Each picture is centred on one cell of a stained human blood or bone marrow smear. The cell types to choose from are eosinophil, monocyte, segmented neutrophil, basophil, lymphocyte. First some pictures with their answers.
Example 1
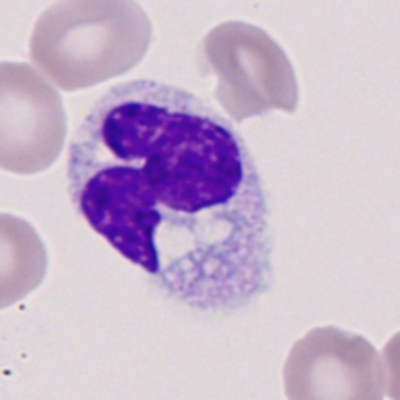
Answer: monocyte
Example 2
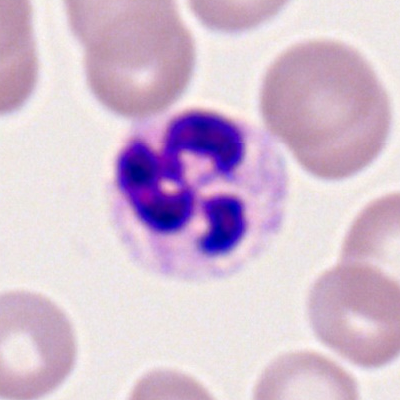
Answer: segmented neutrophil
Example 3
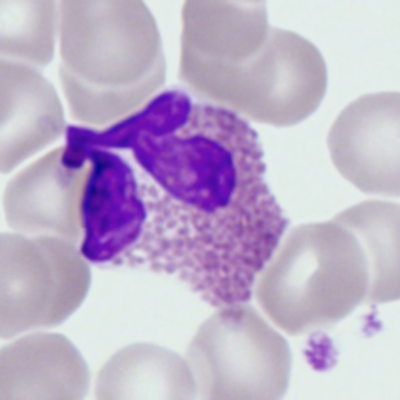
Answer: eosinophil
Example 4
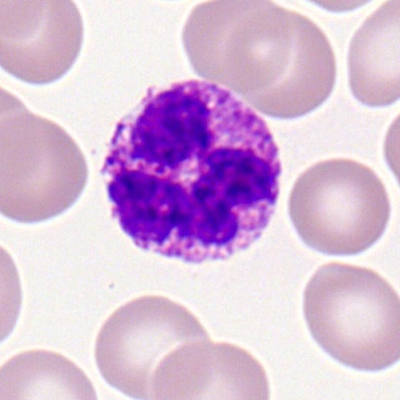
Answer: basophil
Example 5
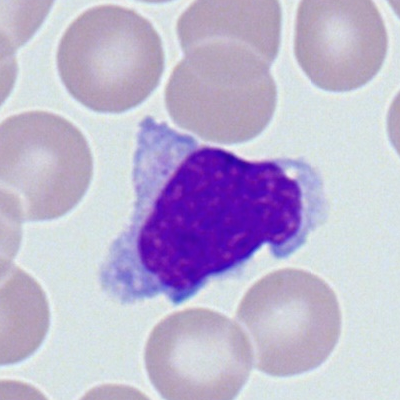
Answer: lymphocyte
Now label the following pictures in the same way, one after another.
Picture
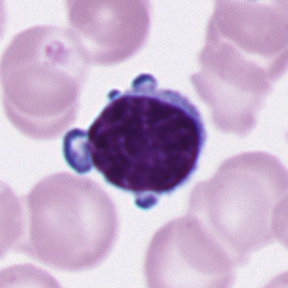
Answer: lymphocyte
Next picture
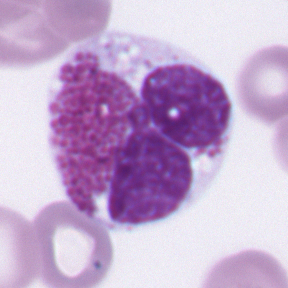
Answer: eosinophil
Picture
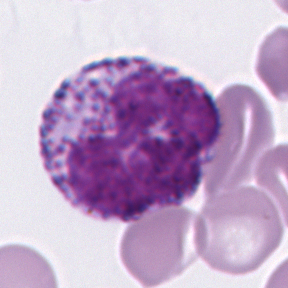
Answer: basophil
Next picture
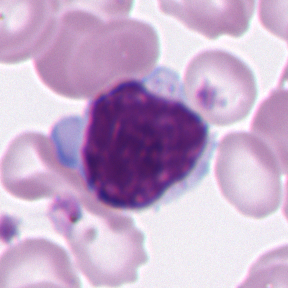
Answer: lymphocyte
